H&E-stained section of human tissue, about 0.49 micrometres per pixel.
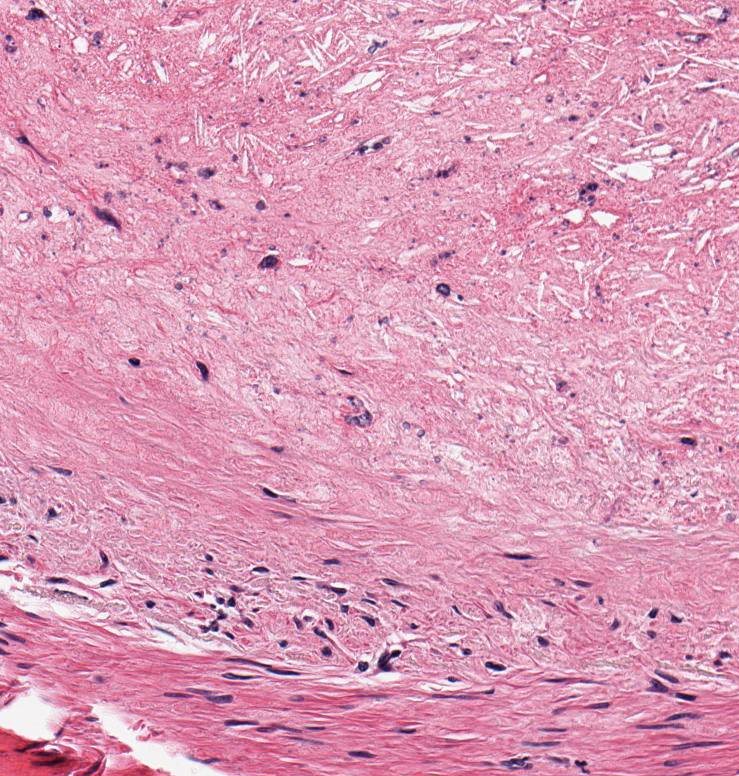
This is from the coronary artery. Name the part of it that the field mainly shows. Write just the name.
tunica intima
